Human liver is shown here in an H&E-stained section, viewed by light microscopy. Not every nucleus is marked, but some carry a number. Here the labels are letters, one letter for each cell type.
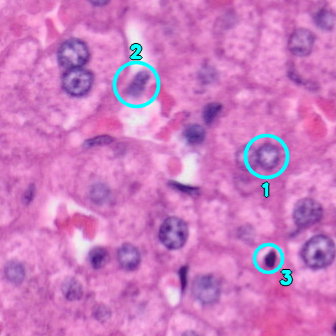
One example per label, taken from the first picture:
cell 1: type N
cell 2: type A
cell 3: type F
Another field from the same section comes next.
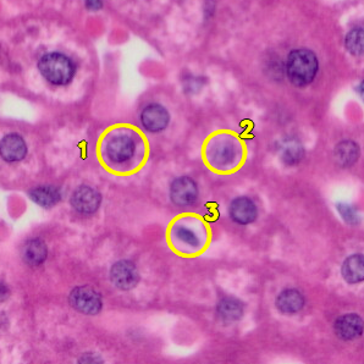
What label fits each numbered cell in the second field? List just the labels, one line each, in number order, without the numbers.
type N
type N
type F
